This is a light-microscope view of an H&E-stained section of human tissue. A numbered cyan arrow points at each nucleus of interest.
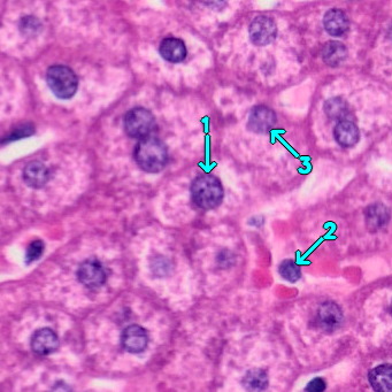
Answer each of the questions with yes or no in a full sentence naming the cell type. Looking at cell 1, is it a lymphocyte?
No, calling cell 1 a lymphocyte is incorrect; it is a hepatocyte.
